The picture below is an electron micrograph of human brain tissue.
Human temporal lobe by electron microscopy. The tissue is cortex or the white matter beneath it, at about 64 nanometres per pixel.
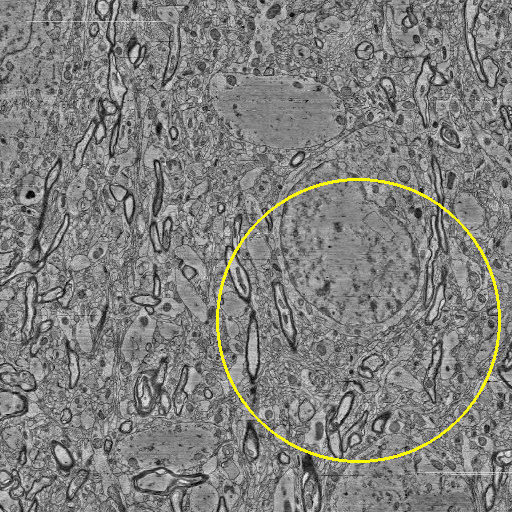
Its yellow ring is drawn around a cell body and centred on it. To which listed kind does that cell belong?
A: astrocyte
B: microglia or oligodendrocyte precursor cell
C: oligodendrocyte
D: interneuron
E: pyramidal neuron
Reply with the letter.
D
